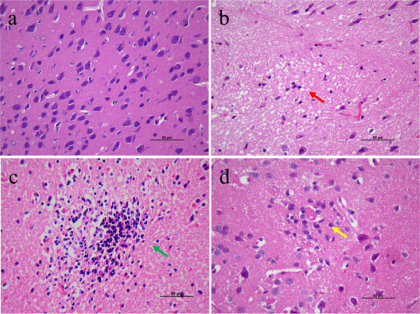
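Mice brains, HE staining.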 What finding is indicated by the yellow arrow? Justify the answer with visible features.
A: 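The yellow arrow points at a larger cell with several small dark nuclei gathered close around it. That points to this answer: injured neurons surrounded by glial cells.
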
